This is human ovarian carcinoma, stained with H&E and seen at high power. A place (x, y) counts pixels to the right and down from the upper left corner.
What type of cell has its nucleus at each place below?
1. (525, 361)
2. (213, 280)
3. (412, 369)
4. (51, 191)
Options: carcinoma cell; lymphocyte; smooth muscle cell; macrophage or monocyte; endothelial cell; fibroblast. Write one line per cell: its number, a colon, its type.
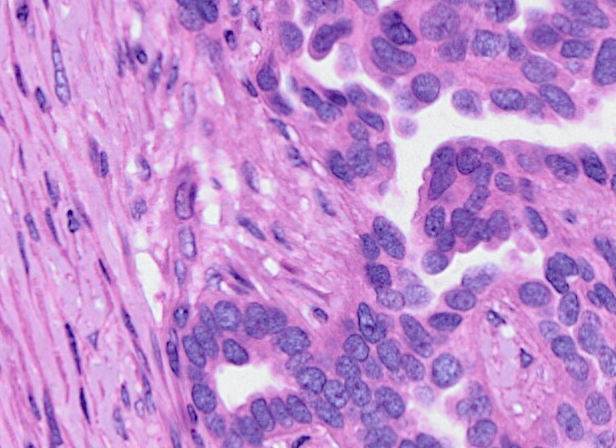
1: fibroblast
2: fibroblast
3: carcinoma cell
4: fibroblast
